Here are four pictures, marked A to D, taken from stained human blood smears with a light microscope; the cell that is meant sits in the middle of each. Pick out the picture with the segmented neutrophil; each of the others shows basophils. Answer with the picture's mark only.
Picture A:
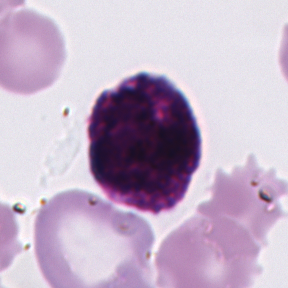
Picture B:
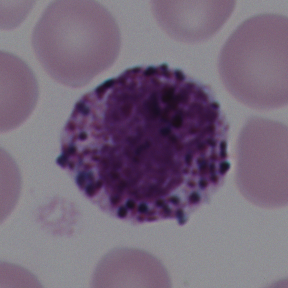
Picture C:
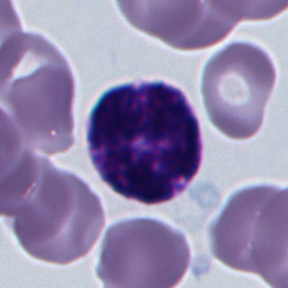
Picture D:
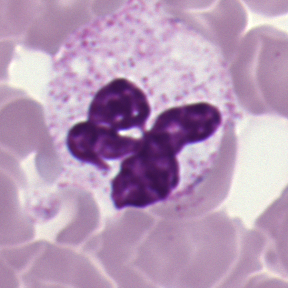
D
